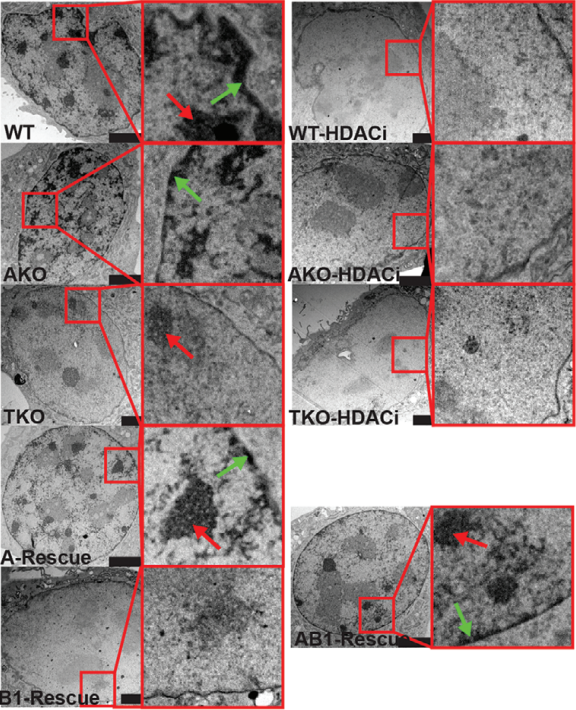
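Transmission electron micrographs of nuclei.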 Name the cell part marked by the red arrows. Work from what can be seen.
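Condensed chromatin. Red arrows point to dark, electron-dense clumps. The clumps lie in the interior of the nucleus, away from its edge.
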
